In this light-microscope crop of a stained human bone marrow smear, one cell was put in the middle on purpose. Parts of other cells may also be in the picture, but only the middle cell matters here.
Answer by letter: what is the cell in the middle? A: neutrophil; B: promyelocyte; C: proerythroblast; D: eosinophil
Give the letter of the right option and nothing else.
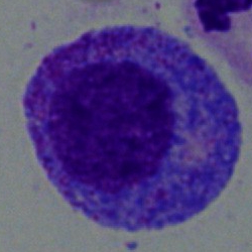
B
